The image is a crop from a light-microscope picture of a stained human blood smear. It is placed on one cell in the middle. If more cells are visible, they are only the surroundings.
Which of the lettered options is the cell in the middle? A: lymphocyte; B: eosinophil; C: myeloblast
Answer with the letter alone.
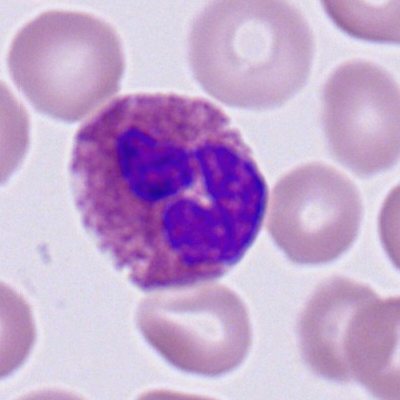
B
